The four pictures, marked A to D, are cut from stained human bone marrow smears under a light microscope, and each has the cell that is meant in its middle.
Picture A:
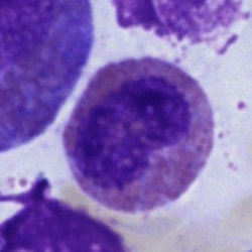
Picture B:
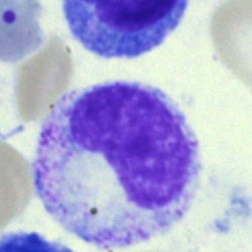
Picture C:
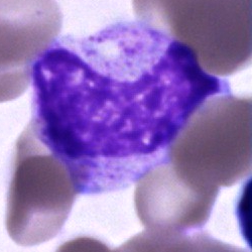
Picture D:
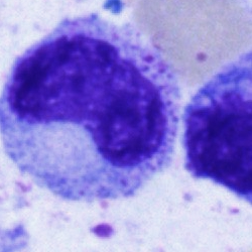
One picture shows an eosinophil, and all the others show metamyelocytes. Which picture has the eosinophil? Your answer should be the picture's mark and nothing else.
A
